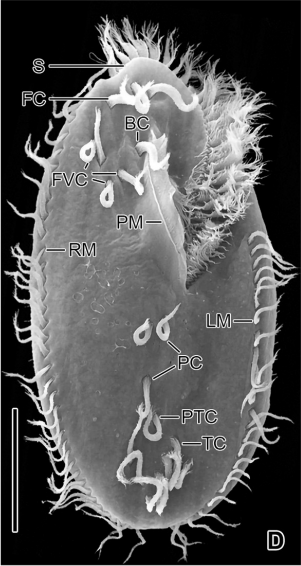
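This is a hypotrich ciliate seen from its flat ventral side, a broad oval cell with thick curved cirri standing on the surface. At the front a clear rim sits over the anterior end, and along the left front runs a dense fringe of membranelles leading back to the mouth region with a paroral membrane. Single groups of cirri lie in the front field, behind the mouth and near the rear, while rows of finer cirri line both margins of the body.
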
